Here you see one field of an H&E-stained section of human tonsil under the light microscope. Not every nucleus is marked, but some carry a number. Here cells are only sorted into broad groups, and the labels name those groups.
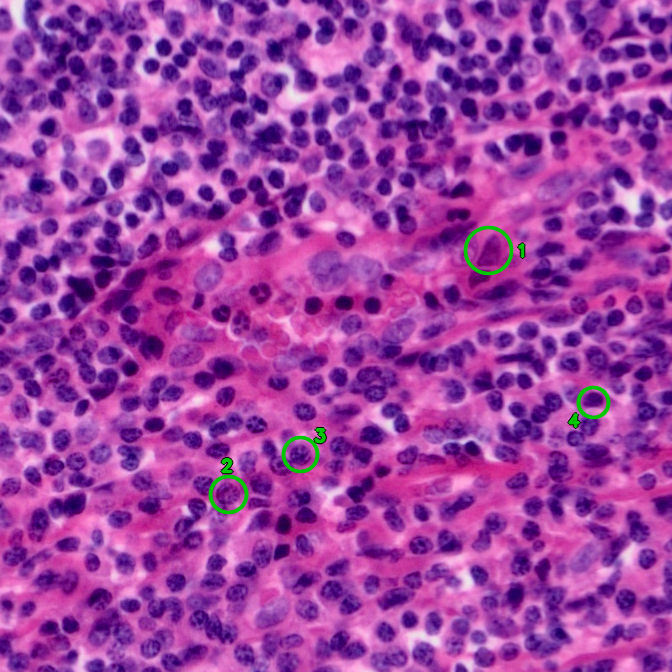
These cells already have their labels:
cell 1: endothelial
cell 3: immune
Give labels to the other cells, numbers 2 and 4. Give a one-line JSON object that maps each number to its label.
{"2": "immune", "4": "immune"}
